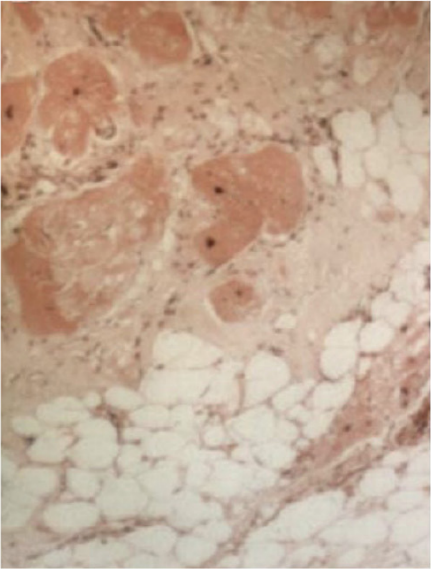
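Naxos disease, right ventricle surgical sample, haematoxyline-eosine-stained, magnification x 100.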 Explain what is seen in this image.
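This is heart muscle in which isolated islands of surviving myocardial fibers lie embedded in fibrosis. The fibers appear as irregular, rounded pink masses of cytoplasm, each with only a few dark nuclei. Around them is pale pink, loosely textured fibrous tissue carrying scattered small dark nuclei. In the lower half of the field large clear, empty, rounded polygonal spaces with thin walls crowd together, resembling fat tissue. Normal, continuous rows of muscle fibers are not seen.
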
